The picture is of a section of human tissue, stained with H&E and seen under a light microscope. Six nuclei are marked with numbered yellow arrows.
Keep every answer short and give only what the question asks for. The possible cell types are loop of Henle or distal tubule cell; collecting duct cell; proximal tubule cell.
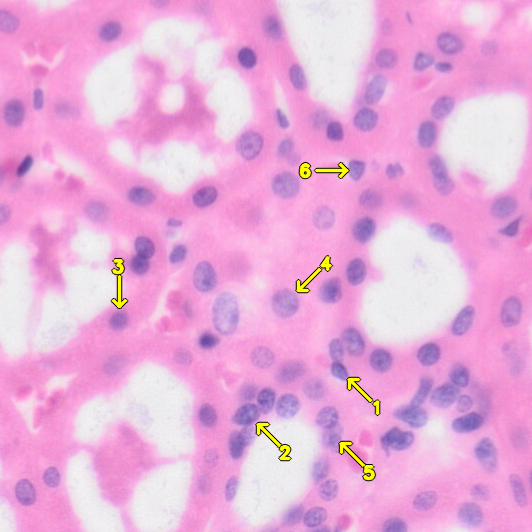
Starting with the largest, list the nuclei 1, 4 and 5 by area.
4, 5, 1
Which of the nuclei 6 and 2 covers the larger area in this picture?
2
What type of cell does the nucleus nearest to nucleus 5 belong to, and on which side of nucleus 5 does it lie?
a collecting duct cell; above nucleus 5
